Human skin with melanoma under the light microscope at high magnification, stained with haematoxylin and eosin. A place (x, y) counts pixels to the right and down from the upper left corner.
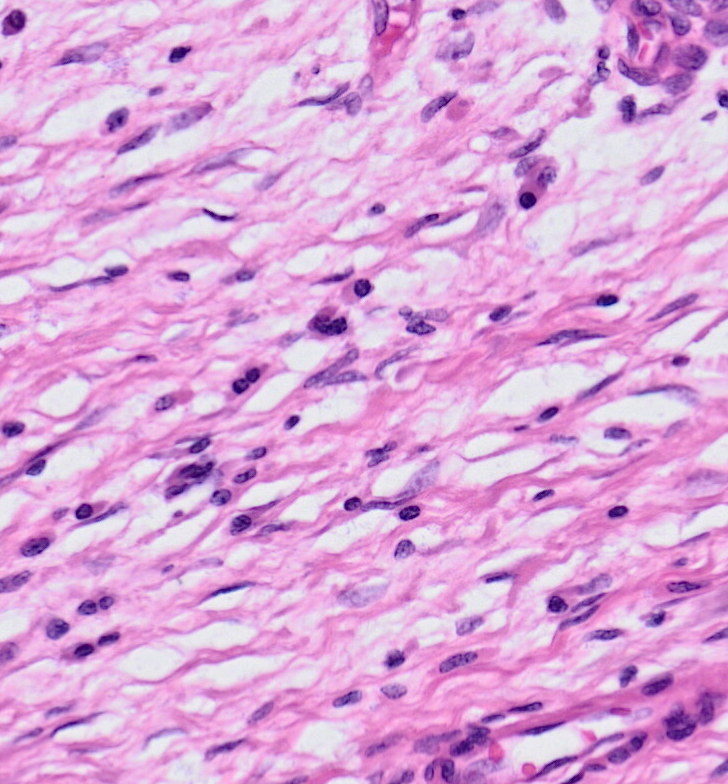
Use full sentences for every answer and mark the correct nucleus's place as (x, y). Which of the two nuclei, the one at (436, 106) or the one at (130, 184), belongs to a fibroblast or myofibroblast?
The nucleus at (130, 184) is attributed to a fibroblast or myofibroblast, unlike the other nucleus.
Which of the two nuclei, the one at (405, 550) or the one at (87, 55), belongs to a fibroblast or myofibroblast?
Housed in a fibroblast or myofibroblast is the nucleus at (87, 55), not the other one.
